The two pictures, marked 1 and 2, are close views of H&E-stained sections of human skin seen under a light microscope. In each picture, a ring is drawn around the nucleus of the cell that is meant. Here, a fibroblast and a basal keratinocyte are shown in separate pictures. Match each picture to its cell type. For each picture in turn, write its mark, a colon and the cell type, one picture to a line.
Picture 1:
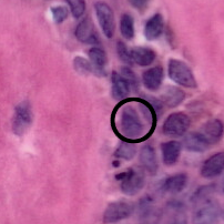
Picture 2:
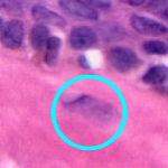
1: basal keratinocyte
2: fibroblast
